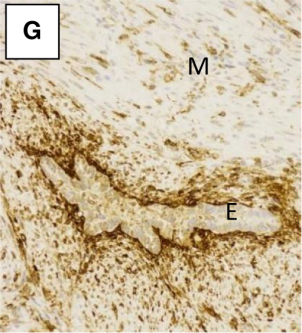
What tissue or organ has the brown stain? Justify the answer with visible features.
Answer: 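Dense brown-stained cells form a band around the gland-like epithelium. The epithelium itself is only faintly stained.
Answer: endometrial stroma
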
